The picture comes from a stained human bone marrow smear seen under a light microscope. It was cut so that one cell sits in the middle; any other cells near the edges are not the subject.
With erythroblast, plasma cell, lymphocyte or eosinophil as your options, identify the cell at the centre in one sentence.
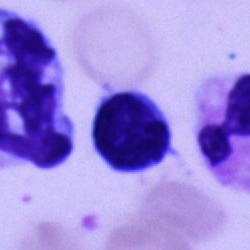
The cell nearest the centre of this crop is a lymphocyte.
